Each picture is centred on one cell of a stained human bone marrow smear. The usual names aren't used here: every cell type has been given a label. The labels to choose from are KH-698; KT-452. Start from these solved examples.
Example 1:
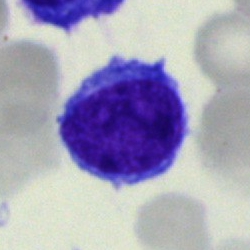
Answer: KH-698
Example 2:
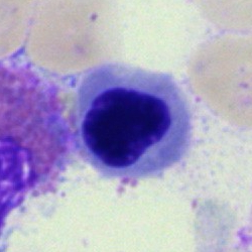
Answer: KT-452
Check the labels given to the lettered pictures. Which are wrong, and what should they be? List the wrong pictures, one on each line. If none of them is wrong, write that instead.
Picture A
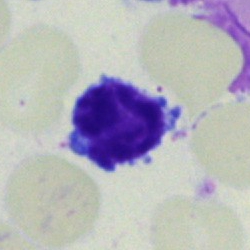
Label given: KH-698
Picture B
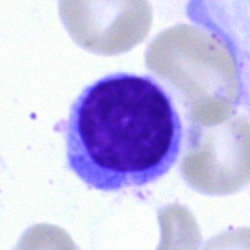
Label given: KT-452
Wrong: B (KT-452); correct: KH-698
